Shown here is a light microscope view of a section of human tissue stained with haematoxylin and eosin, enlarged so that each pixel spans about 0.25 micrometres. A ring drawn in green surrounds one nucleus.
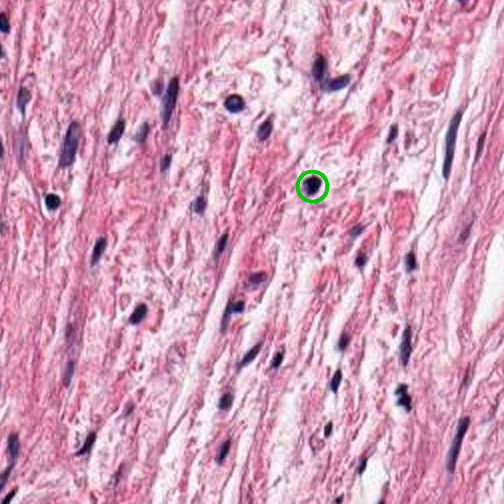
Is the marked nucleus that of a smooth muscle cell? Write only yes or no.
no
